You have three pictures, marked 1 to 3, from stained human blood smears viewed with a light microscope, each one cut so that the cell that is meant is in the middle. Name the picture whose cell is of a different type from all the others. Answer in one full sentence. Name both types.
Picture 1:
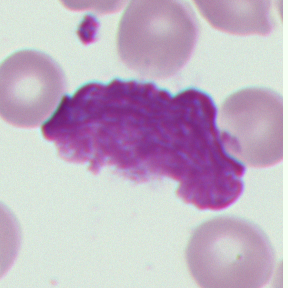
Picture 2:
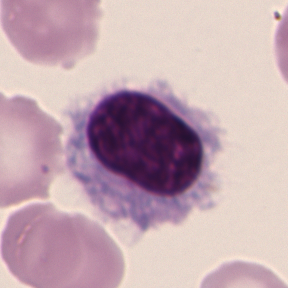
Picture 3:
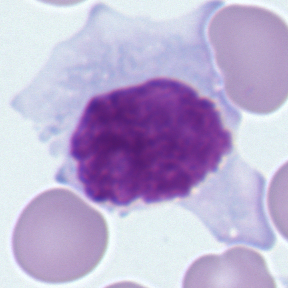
All pictures except 1 show hairy cells; picture 1 shows a smudge cell.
